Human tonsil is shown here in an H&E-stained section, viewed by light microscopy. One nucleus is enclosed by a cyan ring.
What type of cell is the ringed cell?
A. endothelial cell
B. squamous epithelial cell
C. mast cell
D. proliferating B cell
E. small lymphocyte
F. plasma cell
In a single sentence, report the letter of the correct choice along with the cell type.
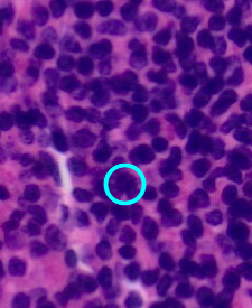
The statement that the ringed cell is a small lymphocyte corresponds to option E, the correct one.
